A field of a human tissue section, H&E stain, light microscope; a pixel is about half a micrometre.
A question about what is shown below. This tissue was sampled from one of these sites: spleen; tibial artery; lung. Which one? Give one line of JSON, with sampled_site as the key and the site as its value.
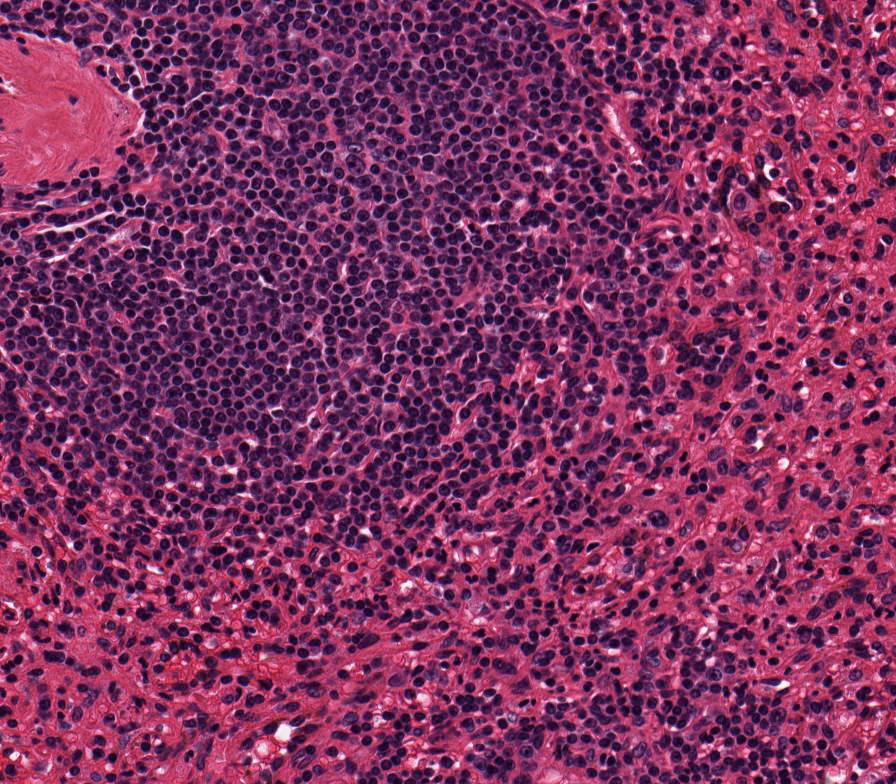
{"sampled_site": "spleen"}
